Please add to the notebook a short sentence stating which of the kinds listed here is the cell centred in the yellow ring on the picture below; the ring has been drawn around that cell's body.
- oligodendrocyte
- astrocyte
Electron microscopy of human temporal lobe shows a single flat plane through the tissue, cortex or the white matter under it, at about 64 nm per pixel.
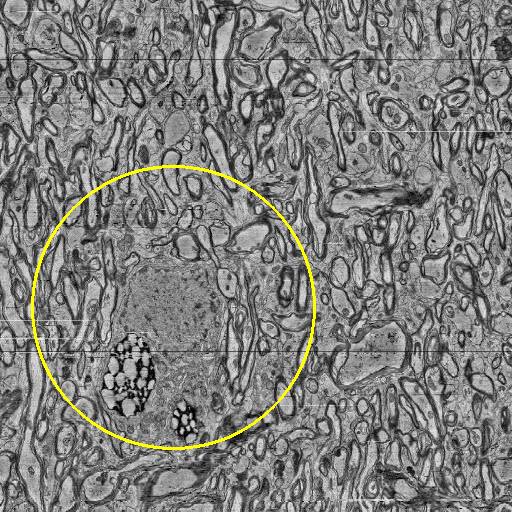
The cell centred in the yellow ring is an astrocyte.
